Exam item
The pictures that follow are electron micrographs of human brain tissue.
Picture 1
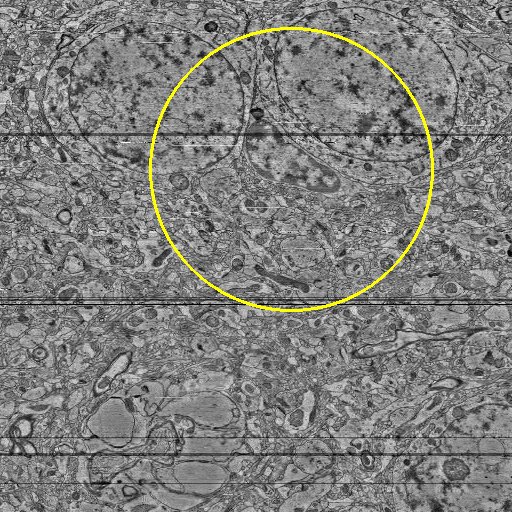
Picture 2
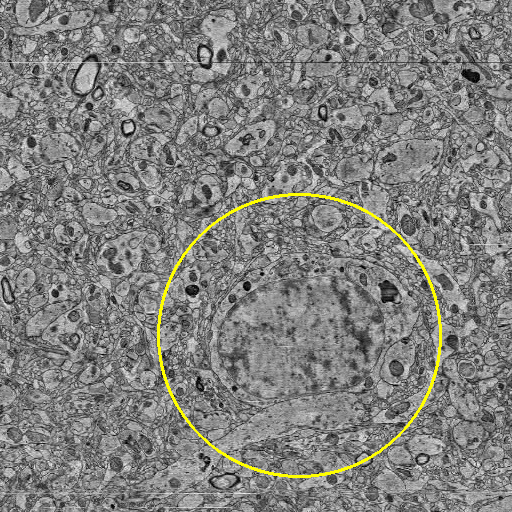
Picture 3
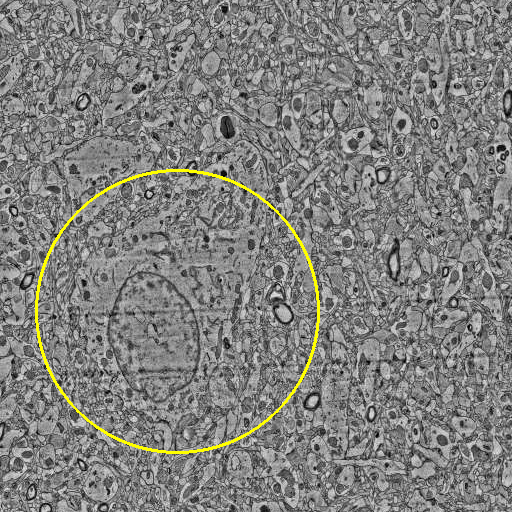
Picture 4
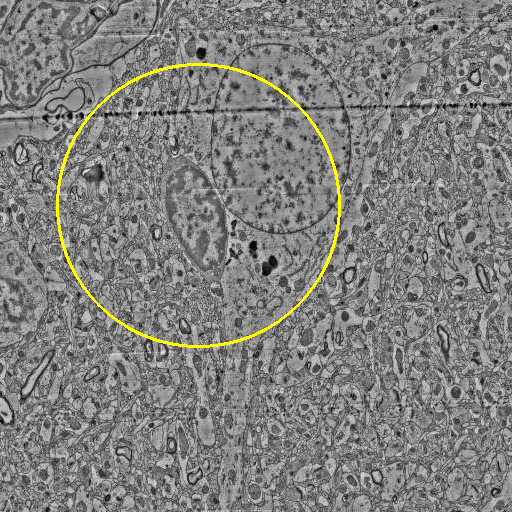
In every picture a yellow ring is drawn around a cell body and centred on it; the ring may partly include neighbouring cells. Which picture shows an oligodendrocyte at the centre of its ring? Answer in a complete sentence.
The cell at the centre of the ring in Picture 4 is the one asked for.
